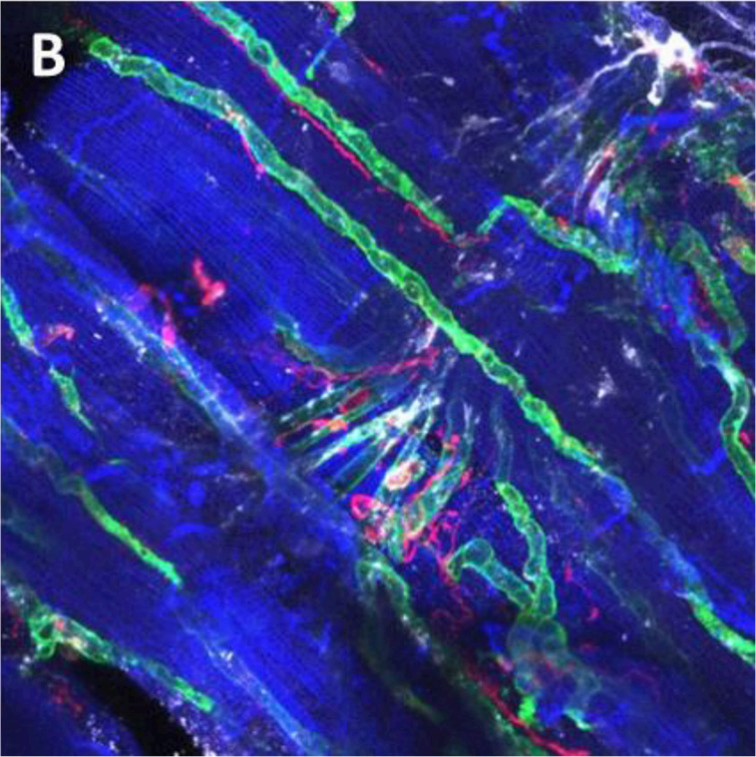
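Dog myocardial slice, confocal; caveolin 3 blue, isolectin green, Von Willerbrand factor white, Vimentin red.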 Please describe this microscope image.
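Broad, parallel blue muscle fibres with fine cross-striations fill the field, and narrow green tubes with beaded walls run alongside and between them. Thin red wavy processes lie close to the green tubes in the spaces between fibres. These are cardiomyocytes with capillaries running among them and slender fibroblasts nearby.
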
